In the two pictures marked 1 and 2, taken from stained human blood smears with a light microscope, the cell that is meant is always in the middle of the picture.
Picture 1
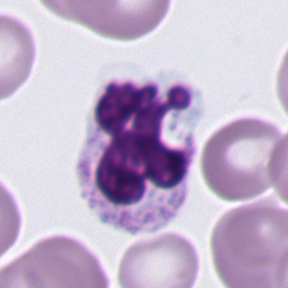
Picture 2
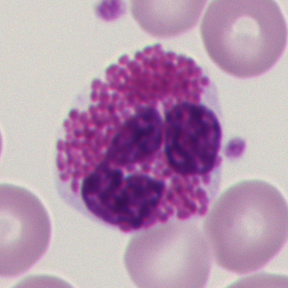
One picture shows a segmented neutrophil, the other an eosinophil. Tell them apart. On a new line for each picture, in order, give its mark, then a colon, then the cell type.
1: segmented neutrophil
2: eosinophil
